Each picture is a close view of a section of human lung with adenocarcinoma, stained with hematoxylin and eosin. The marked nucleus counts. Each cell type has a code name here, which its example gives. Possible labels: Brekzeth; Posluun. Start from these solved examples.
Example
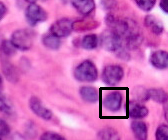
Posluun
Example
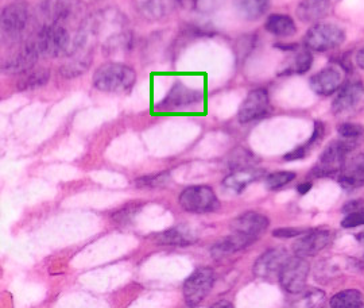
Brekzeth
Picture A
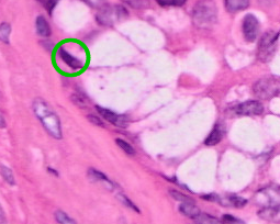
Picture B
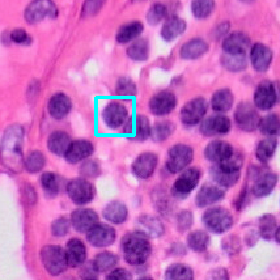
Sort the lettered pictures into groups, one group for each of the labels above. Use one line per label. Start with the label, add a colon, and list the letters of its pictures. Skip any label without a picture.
Brekzeth: A
Posluun: B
